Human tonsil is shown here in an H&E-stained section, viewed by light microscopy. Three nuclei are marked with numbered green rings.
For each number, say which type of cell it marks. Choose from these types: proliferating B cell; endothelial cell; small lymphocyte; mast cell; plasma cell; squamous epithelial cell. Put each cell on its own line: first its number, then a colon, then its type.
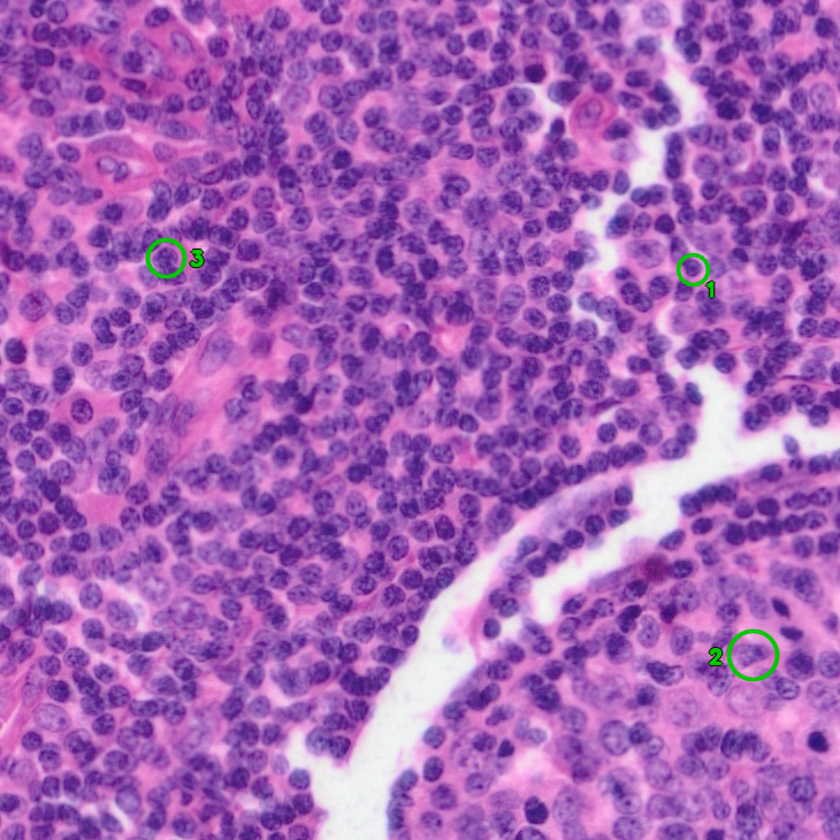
1: small lymphocyte
2: proliferating B cell
3: small lymphocyte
